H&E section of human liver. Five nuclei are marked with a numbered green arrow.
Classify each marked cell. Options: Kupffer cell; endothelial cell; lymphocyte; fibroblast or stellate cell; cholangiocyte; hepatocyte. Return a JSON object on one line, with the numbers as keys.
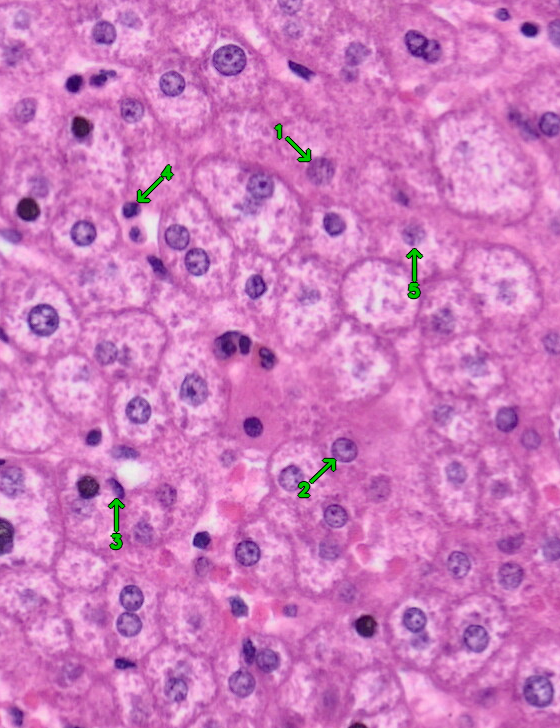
{"1": "hepatocyte", "2": "hepatocyte", "3": "fibroblast or stellate cell", "4": "lymphocyte", "5": "hepatocyte"}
